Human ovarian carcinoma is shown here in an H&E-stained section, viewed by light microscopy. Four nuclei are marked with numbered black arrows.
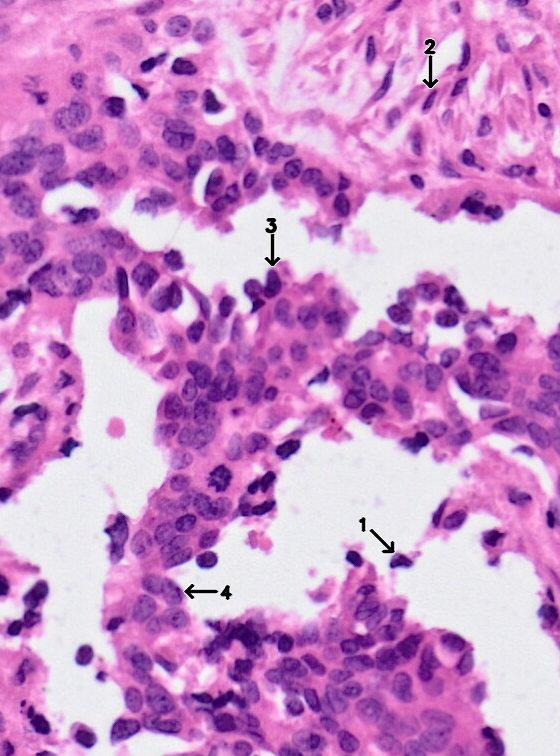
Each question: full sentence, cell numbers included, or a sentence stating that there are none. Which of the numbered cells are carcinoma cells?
The cells assigned the numbers 1, 3 and 4 are carcinoma cells.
